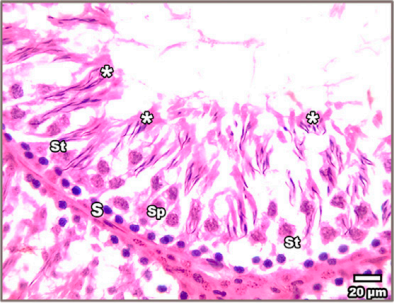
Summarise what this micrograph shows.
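Part of a seminiferous tubule whose wall is lined by stratified germinal epithelium. A row of small round dark-blue nuclei of spermatogonia sits on the basal edge, above which lie large round spermatocytes with big purple granular nuclei. Toward the lumen, bundles of slender elongated spermatids are lodged along tall pale pink columns of Sertoli cell cytoplasm.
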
